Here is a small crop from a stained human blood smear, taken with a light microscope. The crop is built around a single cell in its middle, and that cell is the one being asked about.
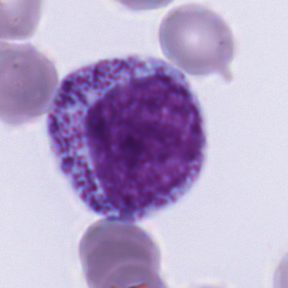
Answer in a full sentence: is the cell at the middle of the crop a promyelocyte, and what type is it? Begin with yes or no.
No, the central cell is identified not as a promyelocyte but as a myelocyte.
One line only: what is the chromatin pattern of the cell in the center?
There is no coarse clumping; the chromatin stays fine throughout.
